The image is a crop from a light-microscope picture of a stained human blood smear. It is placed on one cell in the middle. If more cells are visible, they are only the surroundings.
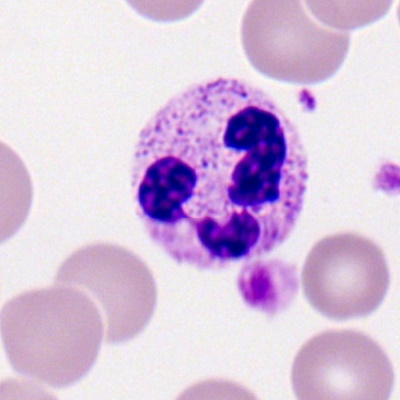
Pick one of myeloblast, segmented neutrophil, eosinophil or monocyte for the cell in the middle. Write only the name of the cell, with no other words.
segmented neutrophil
